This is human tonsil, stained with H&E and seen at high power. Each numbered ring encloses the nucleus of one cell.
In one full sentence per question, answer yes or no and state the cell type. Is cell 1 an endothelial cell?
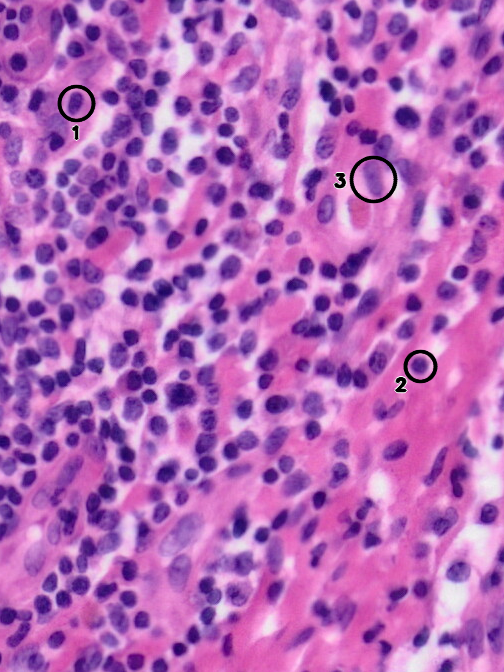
Yes, the cell that bears number 1 is an endothelial cell.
